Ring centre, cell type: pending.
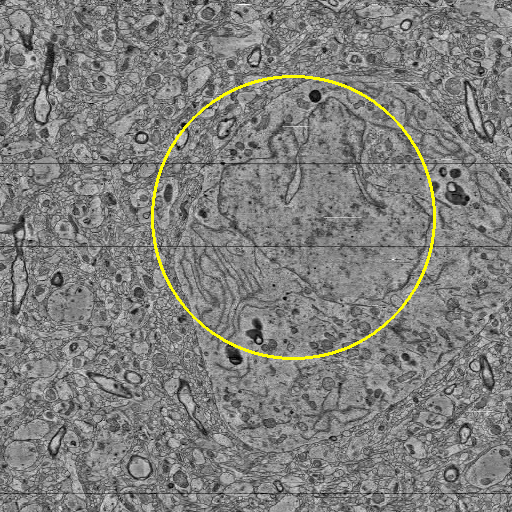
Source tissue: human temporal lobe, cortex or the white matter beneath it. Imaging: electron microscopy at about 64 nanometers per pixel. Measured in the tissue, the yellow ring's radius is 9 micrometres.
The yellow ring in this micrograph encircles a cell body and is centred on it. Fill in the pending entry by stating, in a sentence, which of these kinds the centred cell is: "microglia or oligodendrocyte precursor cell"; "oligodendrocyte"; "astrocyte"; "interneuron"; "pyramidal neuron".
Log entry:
The centred cell is recorded as an interneuron.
